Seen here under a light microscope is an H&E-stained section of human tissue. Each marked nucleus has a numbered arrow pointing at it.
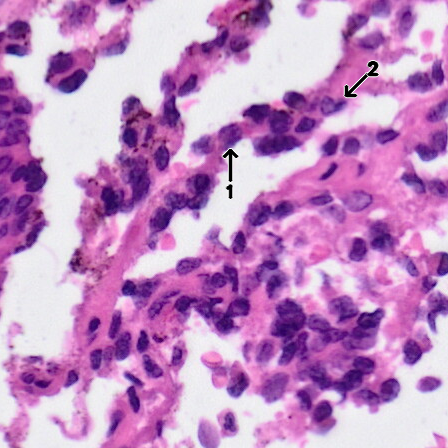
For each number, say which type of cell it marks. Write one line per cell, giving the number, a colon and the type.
1: carcinoma cell
2: macrophage or monocyte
